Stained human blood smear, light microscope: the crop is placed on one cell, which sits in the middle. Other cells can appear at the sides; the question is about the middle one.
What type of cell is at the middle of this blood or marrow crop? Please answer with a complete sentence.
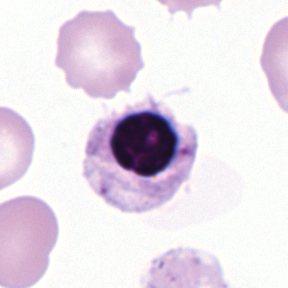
The target cell in the middle of the crop is a normoblast.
